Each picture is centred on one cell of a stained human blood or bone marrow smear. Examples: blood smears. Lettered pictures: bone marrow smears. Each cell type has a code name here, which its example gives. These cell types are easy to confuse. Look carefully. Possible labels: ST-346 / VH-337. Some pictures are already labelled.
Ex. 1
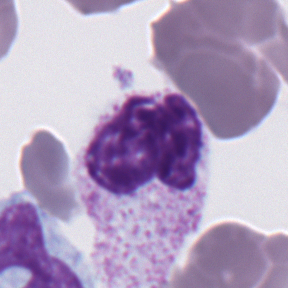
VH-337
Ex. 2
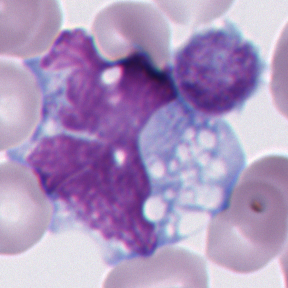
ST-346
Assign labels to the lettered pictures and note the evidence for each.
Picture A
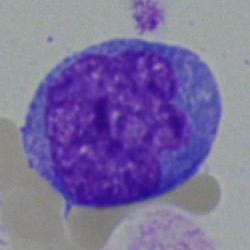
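ST-346: The nucleus fills most of the cell and lies toward the left side.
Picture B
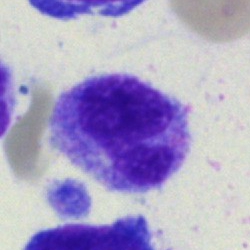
ST-346: The dark purple nucleus fills most of the cell.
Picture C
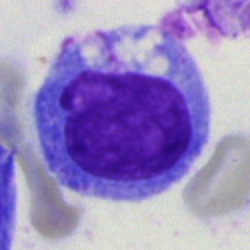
ST-346: The nucleus fills most of the cell and sits low, leaving the widest cytoplasm above it.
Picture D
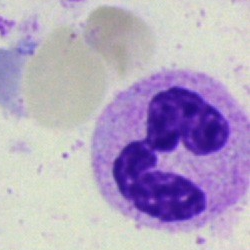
VH-337: The cytoplasm contains fine, evenly scattered pinkish-purple granules.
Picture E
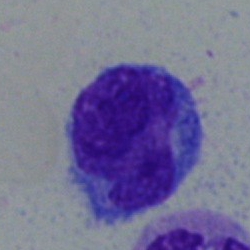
ST-346: The nucleus fills most of the cell.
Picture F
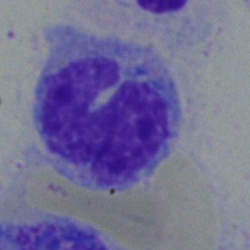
ST-346: The nucleus fills most of the cell.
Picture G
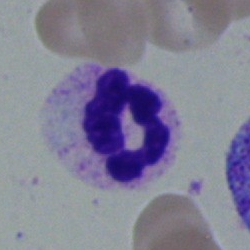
VH-337: The cytoplasm is plentiful and pale lilac-pink.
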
